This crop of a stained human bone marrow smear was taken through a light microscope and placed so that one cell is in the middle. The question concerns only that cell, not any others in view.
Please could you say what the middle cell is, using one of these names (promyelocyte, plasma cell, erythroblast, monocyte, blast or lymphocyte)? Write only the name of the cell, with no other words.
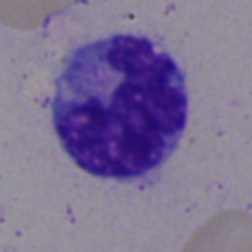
monocyte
